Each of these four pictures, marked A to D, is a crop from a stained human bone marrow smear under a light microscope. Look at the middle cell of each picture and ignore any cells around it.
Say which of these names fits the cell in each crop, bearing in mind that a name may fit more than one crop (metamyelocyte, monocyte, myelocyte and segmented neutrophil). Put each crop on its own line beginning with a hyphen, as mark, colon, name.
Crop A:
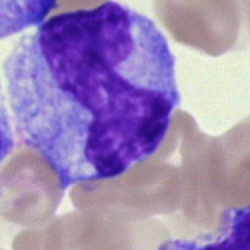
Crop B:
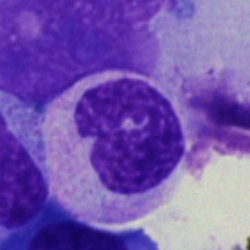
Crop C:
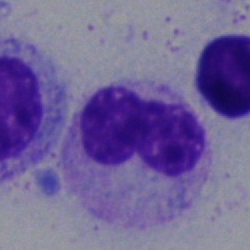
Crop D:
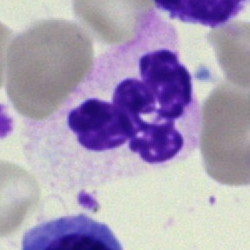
- A: monocyte
- B: segmented neutrophil
- C: metamyelocyte
- D: segmented neutrophil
